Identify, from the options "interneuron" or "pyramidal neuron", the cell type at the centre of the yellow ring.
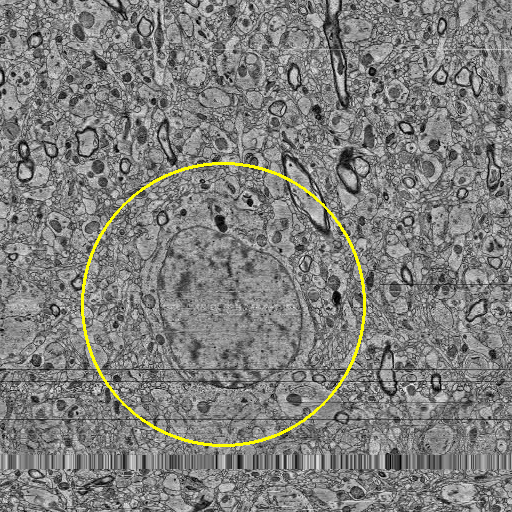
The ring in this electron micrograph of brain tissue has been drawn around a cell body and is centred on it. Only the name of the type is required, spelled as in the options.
interneuron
